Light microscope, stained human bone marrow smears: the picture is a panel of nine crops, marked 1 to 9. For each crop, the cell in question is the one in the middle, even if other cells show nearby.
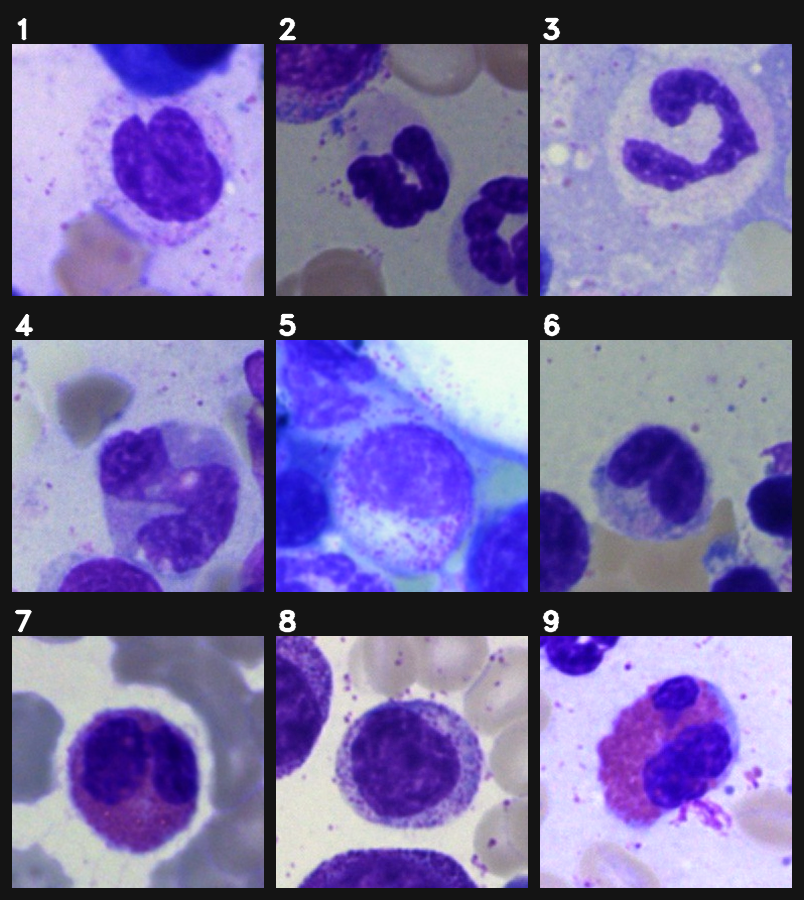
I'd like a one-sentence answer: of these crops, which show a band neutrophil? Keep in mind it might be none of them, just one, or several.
Crops 1 and 4 are designated as showing band neutrophils.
